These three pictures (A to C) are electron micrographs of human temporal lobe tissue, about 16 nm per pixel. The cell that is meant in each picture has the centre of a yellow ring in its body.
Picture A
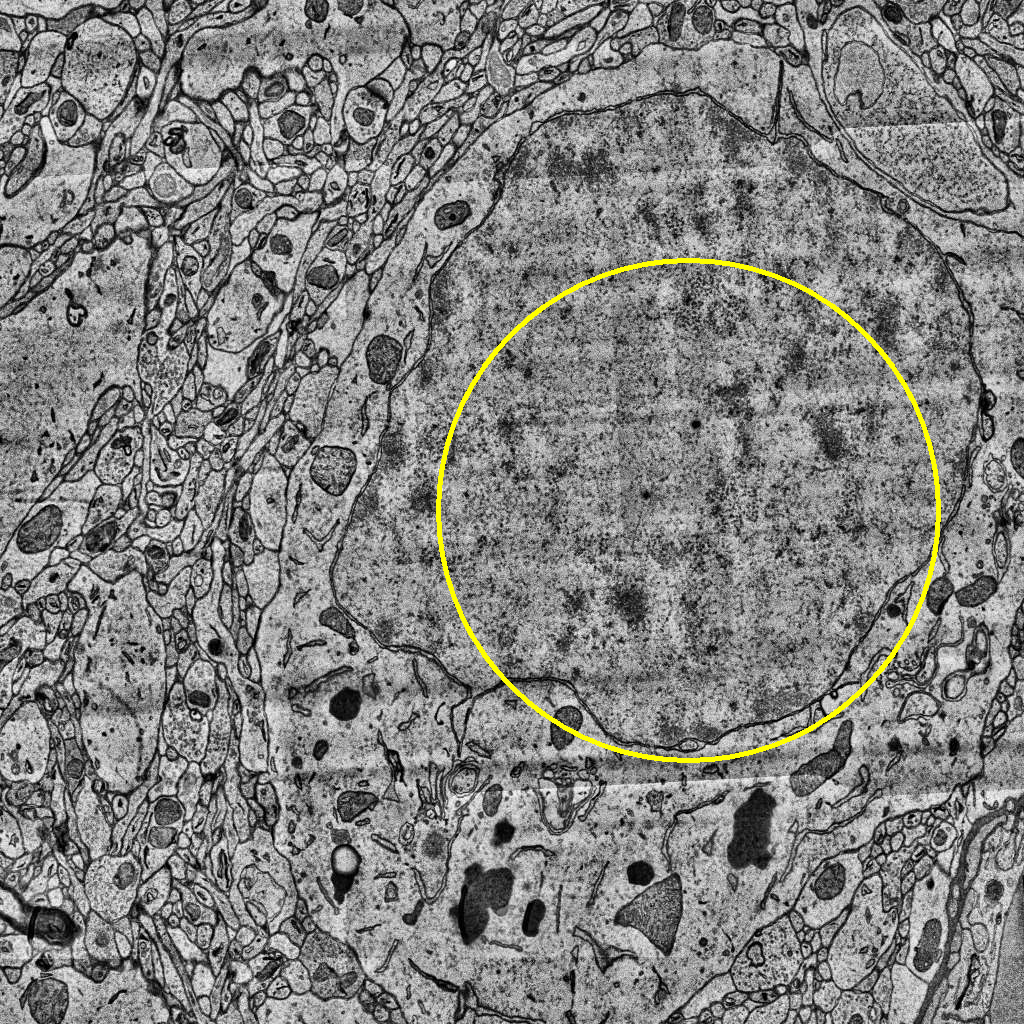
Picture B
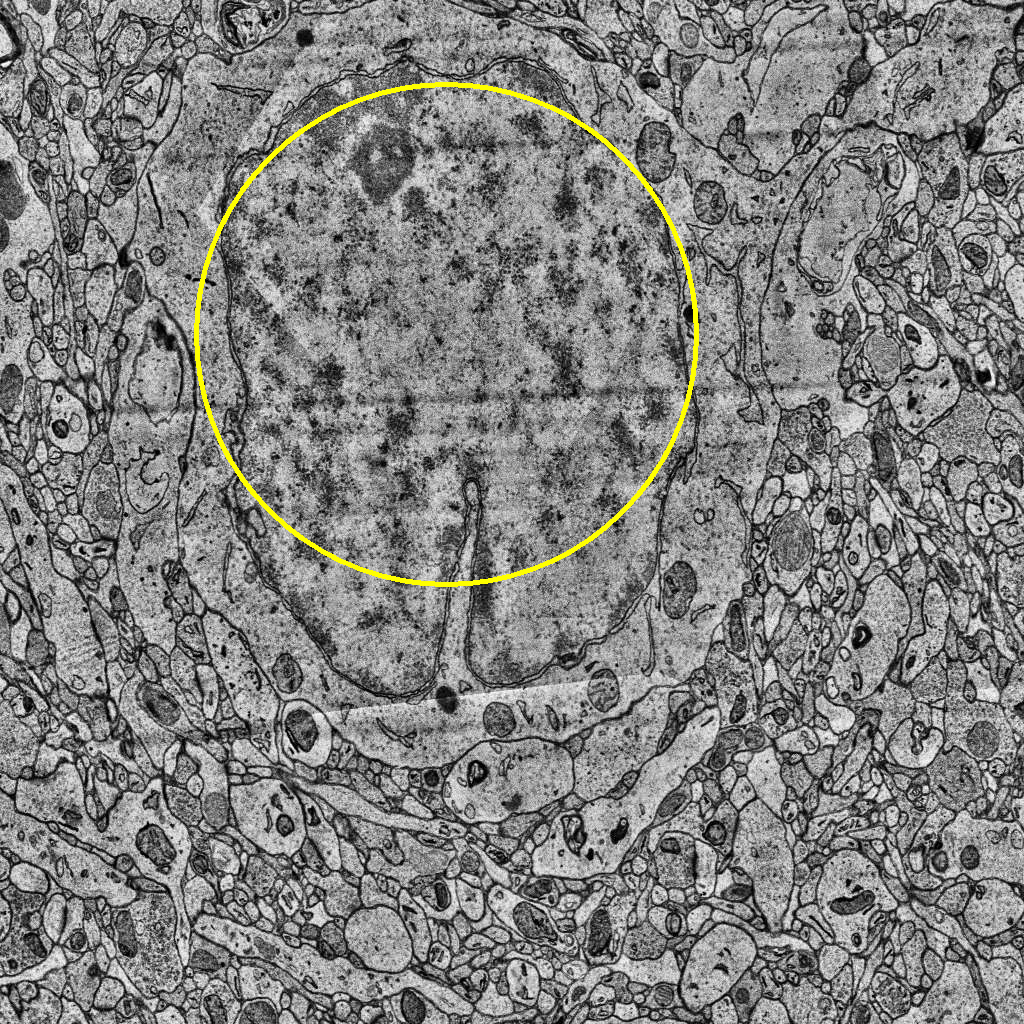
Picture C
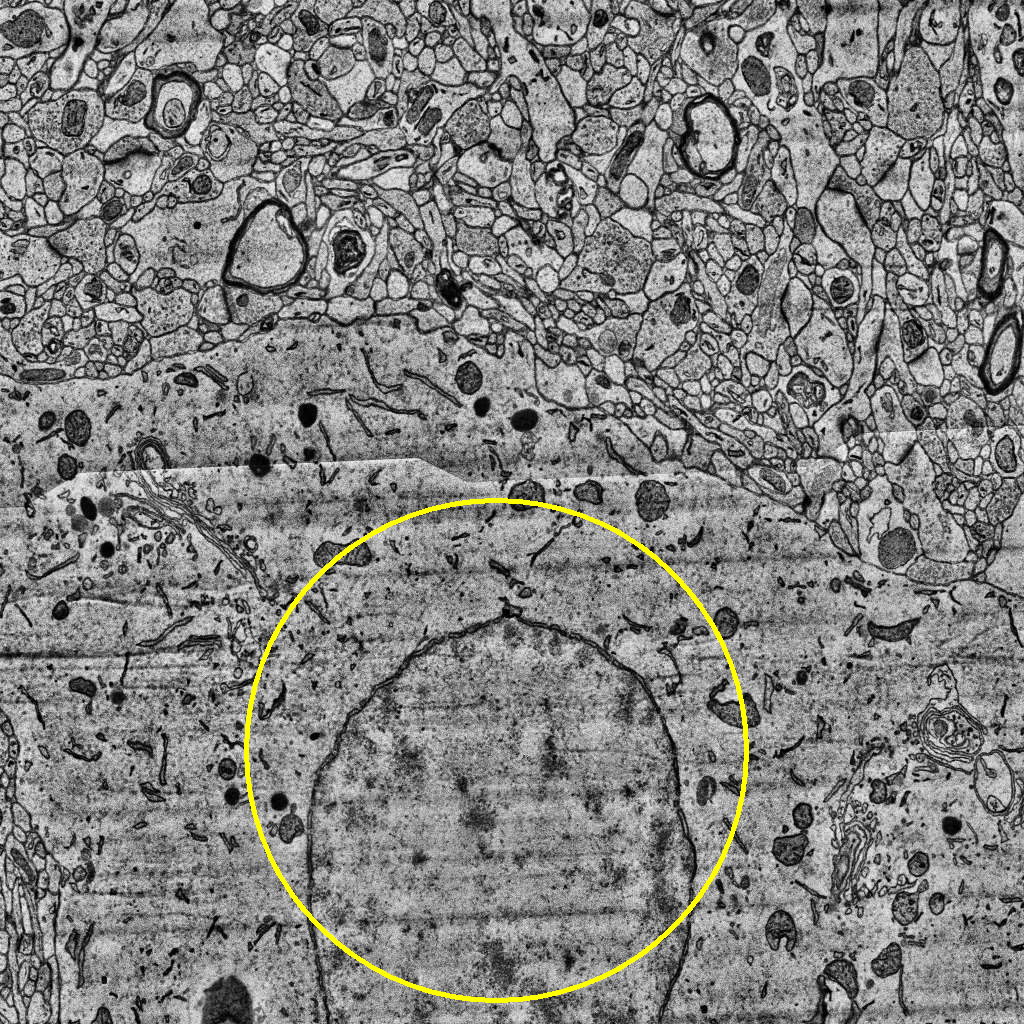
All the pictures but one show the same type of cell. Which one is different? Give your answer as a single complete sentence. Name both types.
The different one is picture C; it shows a pyramidal neuron, whereas all the others show interneurons.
